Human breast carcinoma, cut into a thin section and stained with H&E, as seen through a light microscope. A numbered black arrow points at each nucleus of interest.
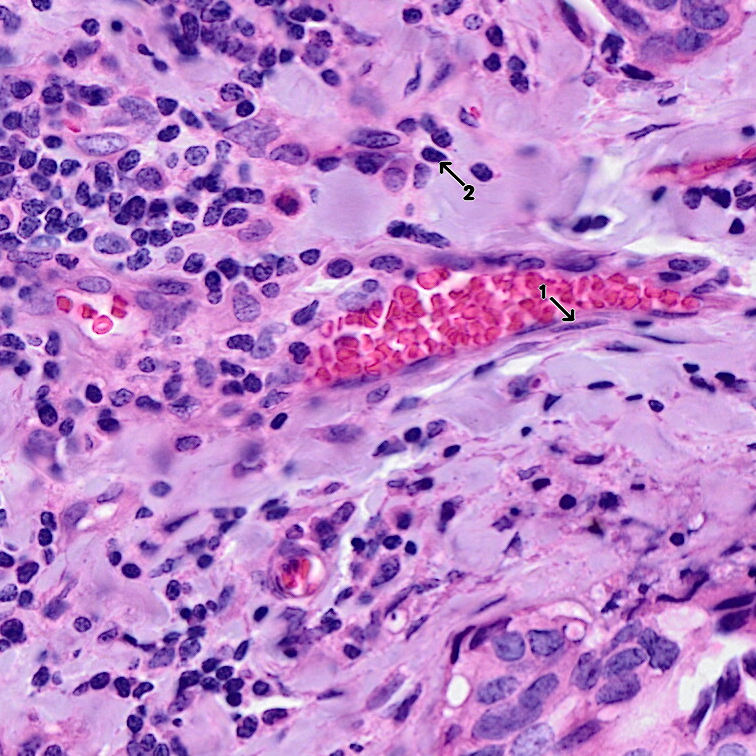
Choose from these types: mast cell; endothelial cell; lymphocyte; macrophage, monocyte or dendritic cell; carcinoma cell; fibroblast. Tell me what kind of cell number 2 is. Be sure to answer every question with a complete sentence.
In the tissue shown, cell 2 is a lymphocyte.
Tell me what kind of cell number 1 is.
Of the numbered cells, the one labelled 1 is an endothelial cell.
